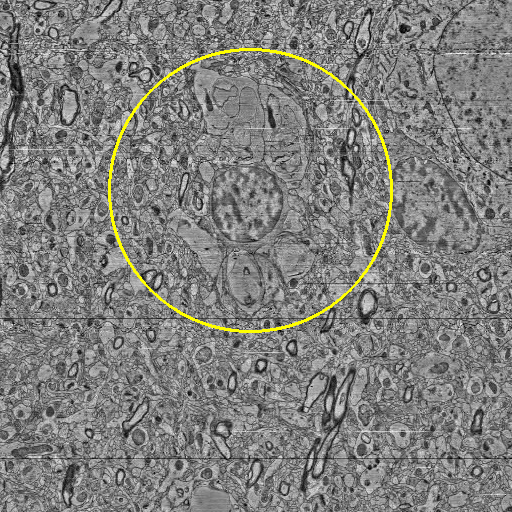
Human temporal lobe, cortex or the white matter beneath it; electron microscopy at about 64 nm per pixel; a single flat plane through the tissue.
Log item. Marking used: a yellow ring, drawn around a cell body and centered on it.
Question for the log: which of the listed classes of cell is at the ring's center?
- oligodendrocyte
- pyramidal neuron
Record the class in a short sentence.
At the center of the ring lies an oligodendrocyte.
